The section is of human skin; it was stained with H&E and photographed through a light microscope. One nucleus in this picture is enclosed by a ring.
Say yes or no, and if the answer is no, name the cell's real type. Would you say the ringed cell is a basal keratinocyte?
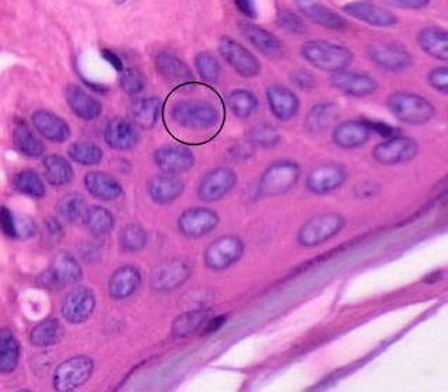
Yes.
